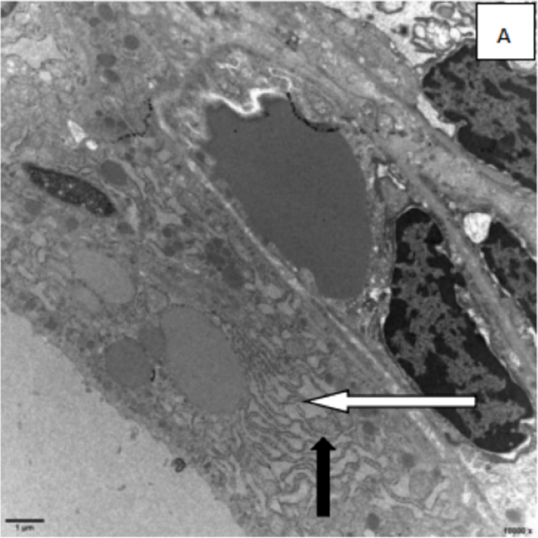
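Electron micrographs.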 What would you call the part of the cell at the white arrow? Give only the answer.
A: endoplasmic reticulum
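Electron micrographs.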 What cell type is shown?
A: thyroid follicular cells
